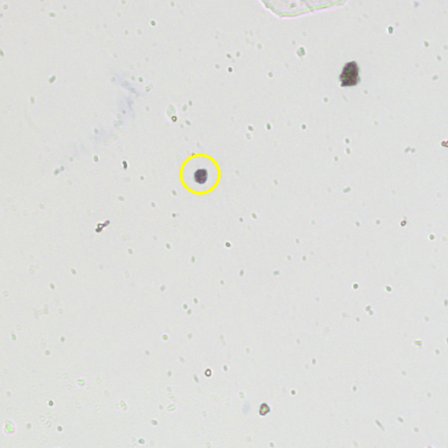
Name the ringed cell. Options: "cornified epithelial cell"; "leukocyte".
leukocyte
